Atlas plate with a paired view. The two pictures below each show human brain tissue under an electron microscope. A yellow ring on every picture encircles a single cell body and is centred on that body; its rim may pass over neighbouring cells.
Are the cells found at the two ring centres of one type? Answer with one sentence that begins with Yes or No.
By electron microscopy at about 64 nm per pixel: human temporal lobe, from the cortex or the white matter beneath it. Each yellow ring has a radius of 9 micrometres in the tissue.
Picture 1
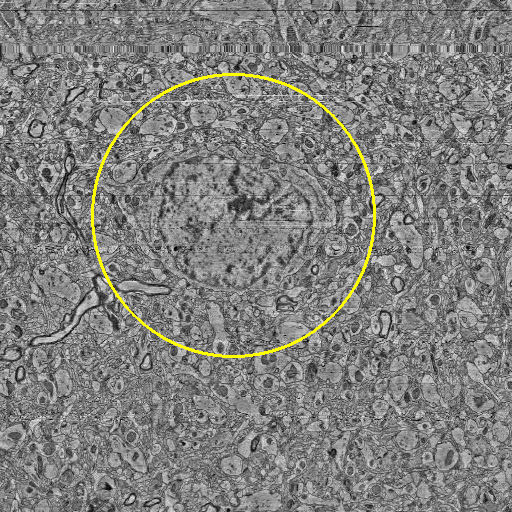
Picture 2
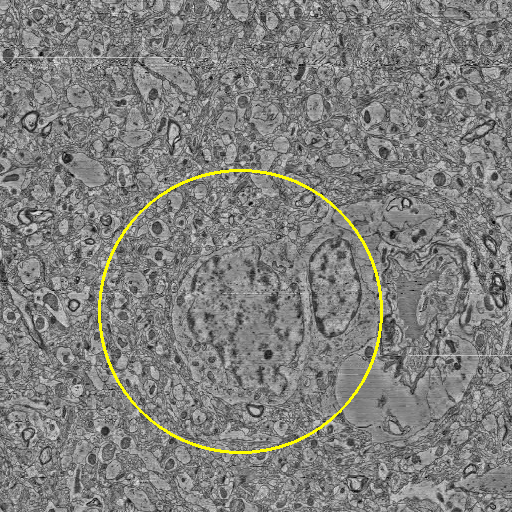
Yes, the two cells lying at the centres of the rings share a single type.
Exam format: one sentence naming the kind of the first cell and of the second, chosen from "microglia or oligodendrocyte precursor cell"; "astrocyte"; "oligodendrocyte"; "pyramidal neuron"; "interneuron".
In the first picture and in the second, the ring is centred on an interneuron.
